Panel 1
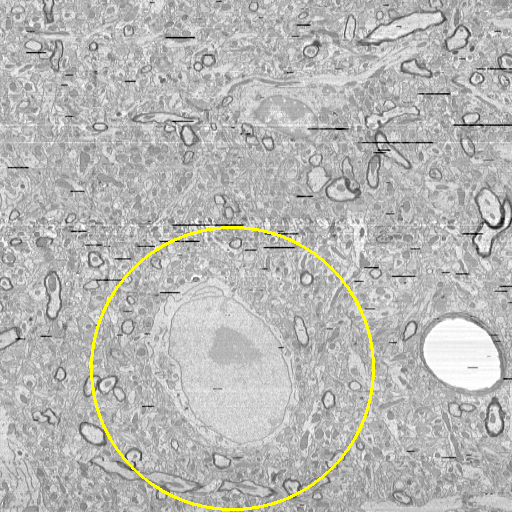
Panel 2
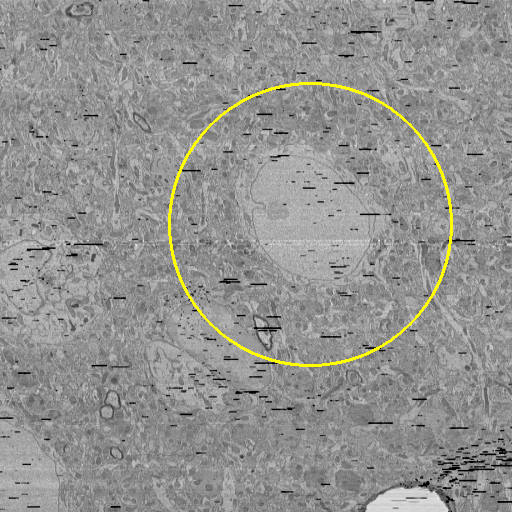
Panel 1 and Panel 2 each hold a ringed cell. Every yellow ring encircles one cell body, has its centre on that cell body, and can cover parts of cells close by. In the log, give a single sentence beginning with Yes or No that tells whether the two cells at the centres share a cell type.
Yes, in Panel 1 and Panel 2 the centred cells share a cell type.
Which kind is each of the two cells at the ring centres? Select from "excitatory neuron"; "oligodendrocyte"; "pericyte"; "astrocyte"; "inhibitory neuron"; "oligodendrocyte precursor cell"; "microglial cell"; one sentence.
Each one of the two ringed cells is an excitatory neuron.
